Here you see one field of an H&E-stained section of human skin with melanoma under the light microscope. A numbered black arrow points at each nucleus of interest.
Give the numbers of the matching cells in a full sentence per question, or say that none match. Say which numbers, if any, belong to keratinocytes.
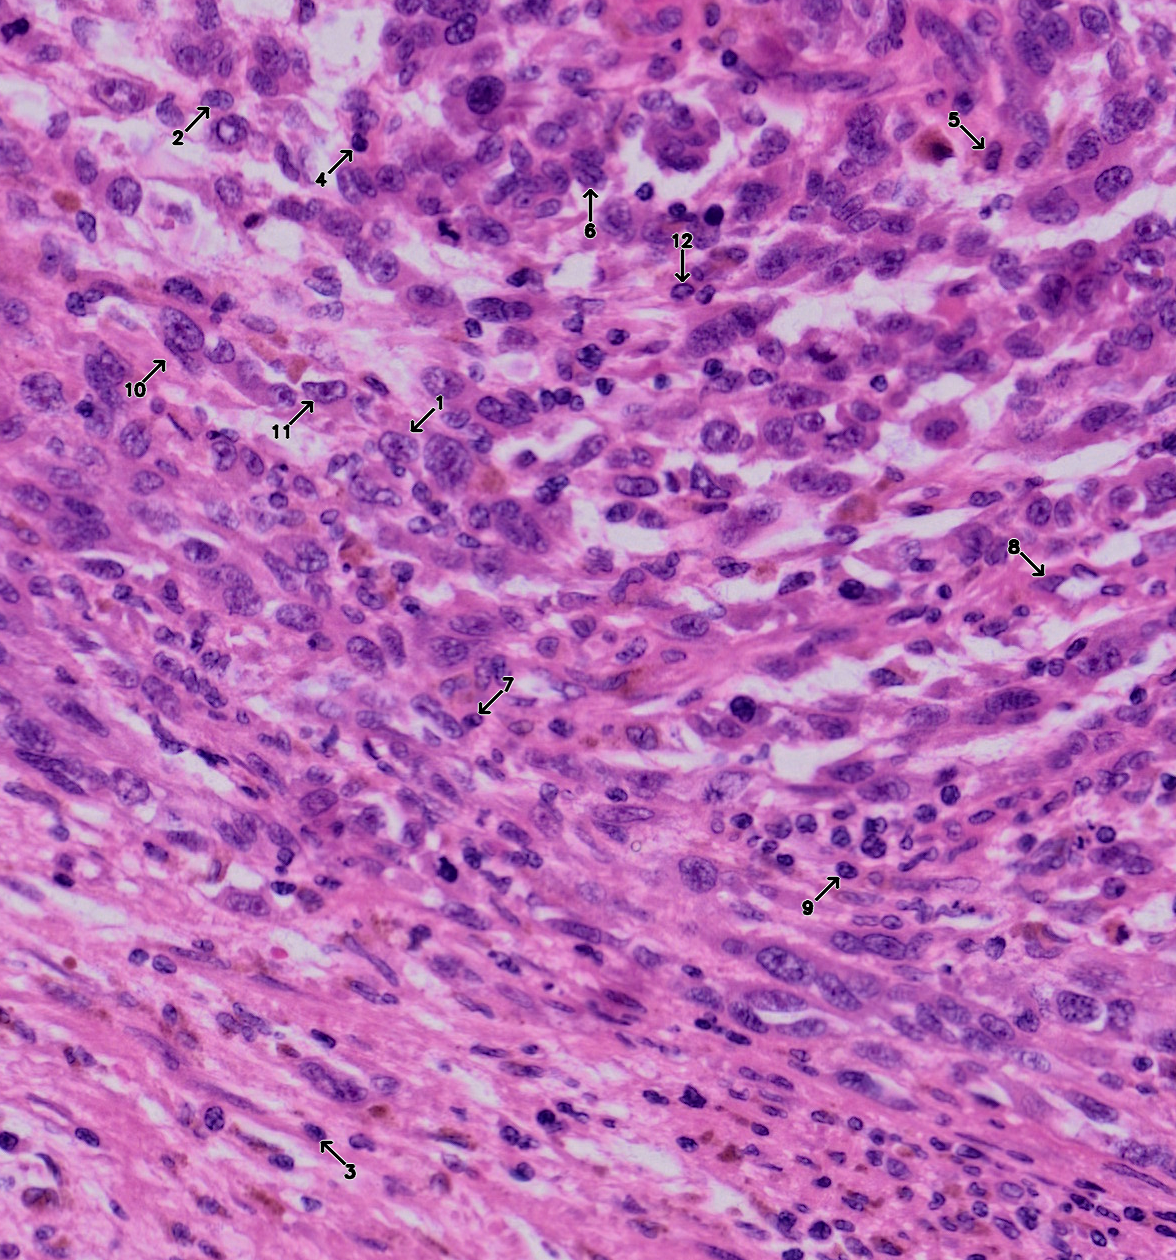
Among the cells marked by numbers, there are no keratinocytes.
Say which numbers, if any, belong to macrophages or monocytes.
To be specific, the cells numbered 2, 5 and 12 are macrophages or monocytes.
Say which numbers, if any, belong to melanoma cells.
The cells numbered 1, 6, 10 and 11 are, by type, melanoma cells.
